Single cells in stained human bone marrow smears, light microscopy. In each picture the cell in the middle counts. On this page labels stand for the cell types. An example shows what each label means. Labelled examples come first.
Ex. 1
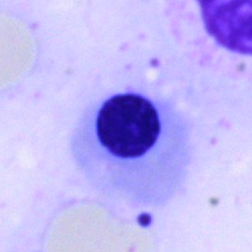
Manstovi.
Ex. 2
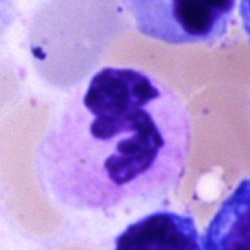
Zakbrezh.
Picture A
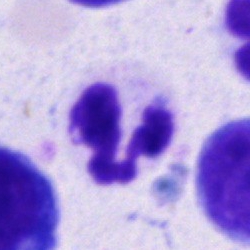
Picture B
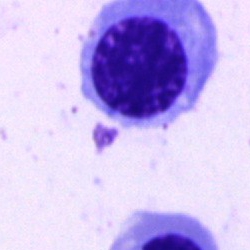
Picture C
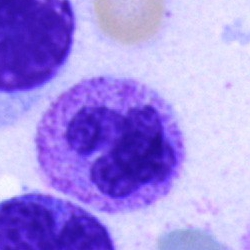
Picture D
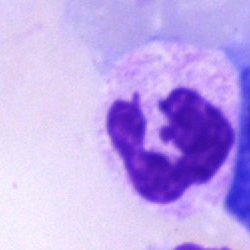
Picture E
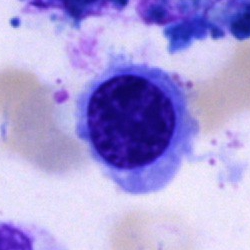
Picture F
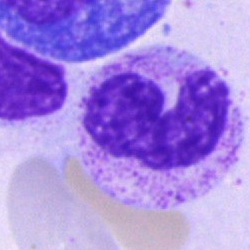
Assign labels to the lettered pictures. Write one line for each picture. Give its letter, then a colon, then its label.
A: Zakbrezh.
B: Manstovi.
C: Zakbrezh.
D: Zakbrezh.
E: Manstovi.
F: Zakbrezh.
